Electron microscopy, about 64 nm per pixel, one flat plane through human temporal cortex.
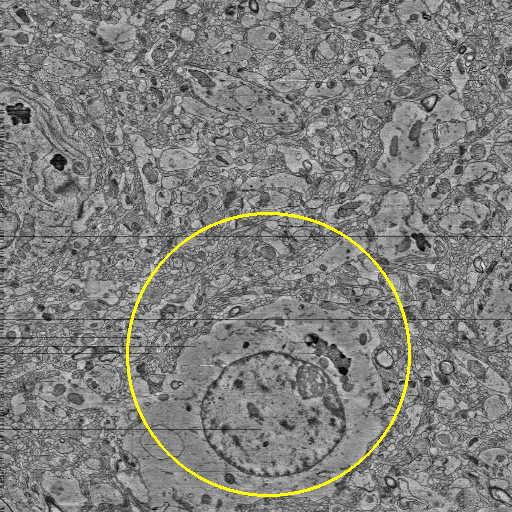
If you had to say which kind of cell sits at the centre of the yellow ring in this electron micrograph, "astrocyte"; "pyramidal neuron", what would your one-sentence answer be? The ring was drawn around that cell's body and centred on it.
The cell sitting at the centre of the ring is an astrocyte.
